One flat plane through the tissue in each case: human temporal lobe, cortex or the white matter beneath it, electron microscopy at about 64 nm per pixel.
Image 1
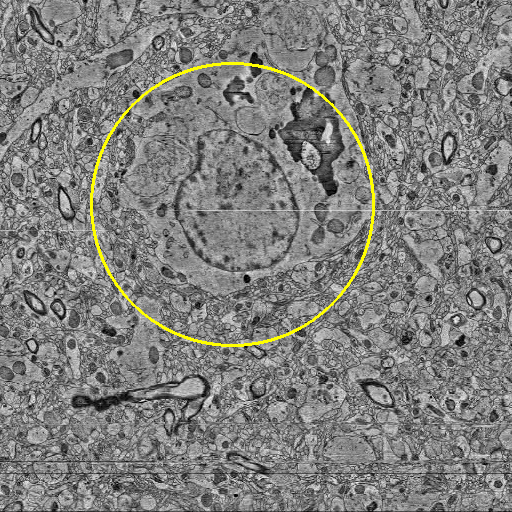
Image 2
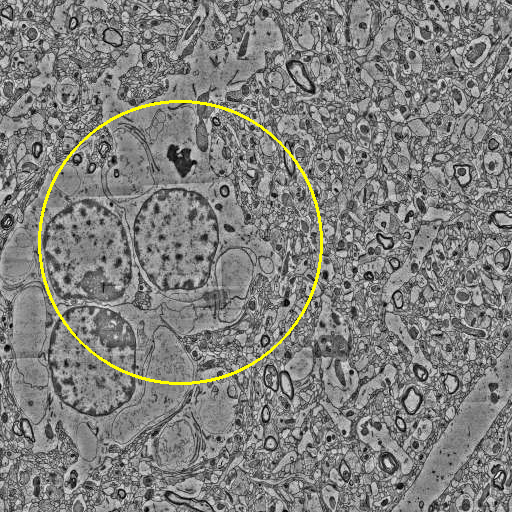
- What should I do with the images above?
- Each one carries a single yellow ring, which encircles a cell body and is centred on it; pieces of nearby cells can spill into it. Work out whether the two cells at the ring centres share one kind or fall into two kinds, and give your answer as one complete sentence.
The ring-centre cells of Image 1 and Image 2 share one kind.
